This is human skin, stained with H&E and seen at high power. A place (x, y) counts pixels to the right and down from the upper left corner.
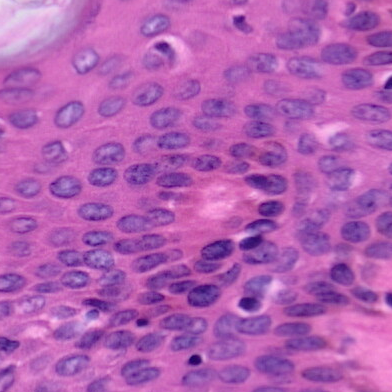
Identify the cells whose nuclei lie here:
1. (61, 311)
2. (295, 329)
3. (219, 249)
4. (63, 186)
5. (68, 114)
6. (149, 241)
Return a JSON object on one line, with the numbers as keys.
{"1": "basal keratinocyte", "2": "basal keratinocyte", "3": "basal keratinocyte", "4": "suprabasal keratinocyte", "5": "suprabasal keratinocyte", "6": "basal keratinocyte"}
